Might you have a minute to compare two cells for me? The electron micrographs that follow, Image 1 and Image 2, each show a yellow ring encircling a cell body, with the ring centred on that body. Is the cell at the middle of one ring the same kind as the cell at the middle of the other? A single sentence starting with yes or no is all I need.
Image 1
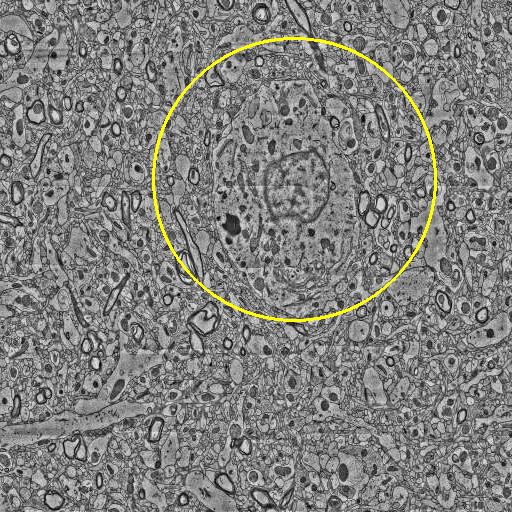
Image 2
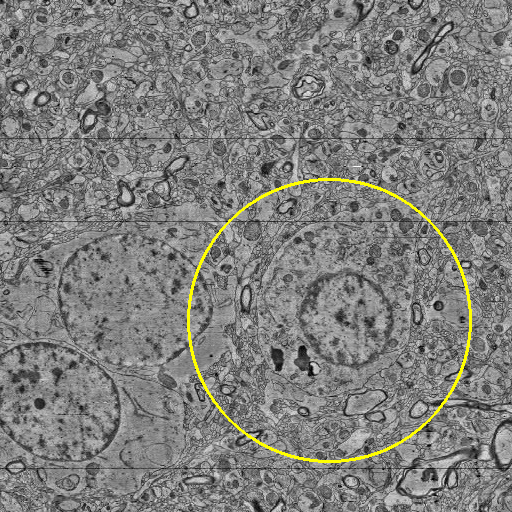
Yes, the cells in the middle of the two rings are of one shared kind.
